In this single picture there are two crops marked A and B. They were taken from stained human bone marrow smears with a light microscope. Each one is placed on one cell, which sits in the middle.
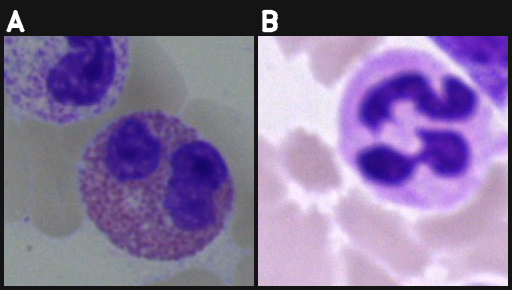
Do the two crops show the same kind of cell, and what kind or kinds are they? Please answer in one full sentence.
No, an eosinophil lies at the centre of crop A, and a segmented neutrophil lies at the centre of crop B.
